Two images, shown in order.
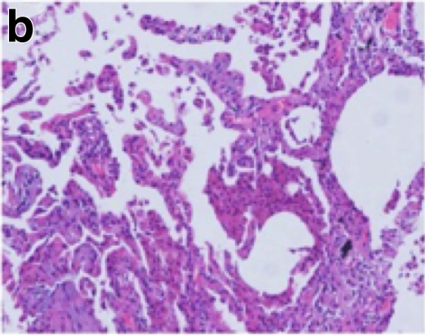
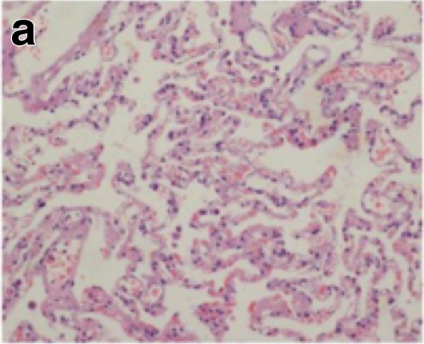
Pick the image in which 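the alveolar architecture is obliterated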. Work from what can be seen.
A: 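First image: thickened, dense cellular tissue replaces most alveolar spaces. The answer: the first image.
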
